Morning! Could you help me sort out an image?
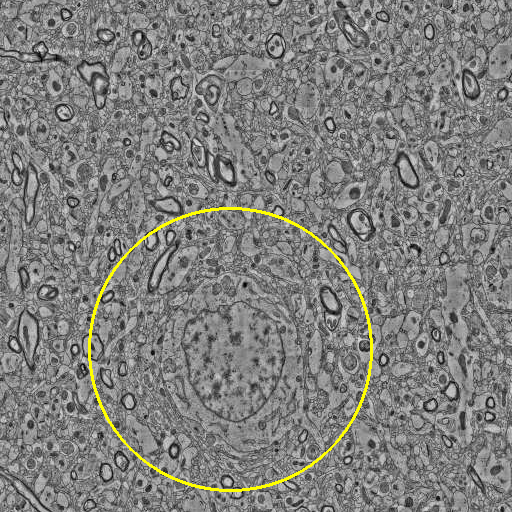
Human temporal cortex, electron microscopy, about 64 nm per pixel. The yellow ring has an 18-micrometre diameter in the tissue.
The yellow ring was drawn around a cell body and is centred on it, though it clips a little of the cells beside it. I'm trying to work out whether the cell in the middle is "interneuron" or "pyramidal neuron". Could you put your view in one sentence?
The ringed cell body is that of a pyramidal neuron.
